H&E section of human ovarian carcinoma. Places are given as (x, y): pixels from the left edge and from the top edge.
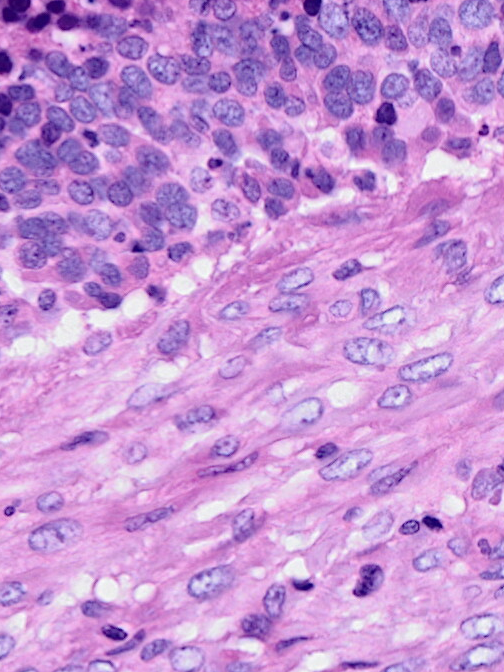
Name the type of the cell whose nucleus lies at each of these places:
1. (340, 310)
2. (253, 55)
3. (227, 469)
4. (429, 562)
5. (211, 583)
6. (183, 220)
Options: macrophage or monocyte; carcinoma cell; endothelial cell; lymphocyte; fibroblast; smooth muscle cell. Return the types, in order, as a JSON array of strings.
["fibroblast", "carcinoma cell", "fibroblast", "fibroblast", "fibroblast", "carcinoma cell"]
